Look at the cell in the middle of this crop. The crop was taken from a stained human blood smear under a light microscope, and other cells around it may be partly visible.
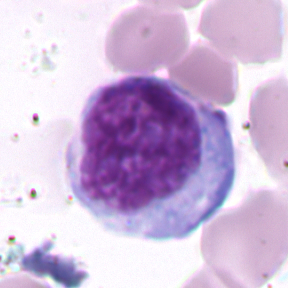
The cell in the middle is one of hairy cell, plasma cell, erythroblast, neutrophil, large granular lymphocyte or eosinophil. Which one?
plasma cell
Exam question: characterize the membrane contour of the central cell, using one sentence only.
Smooth outline, no projections: that is the whole story of its edge.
